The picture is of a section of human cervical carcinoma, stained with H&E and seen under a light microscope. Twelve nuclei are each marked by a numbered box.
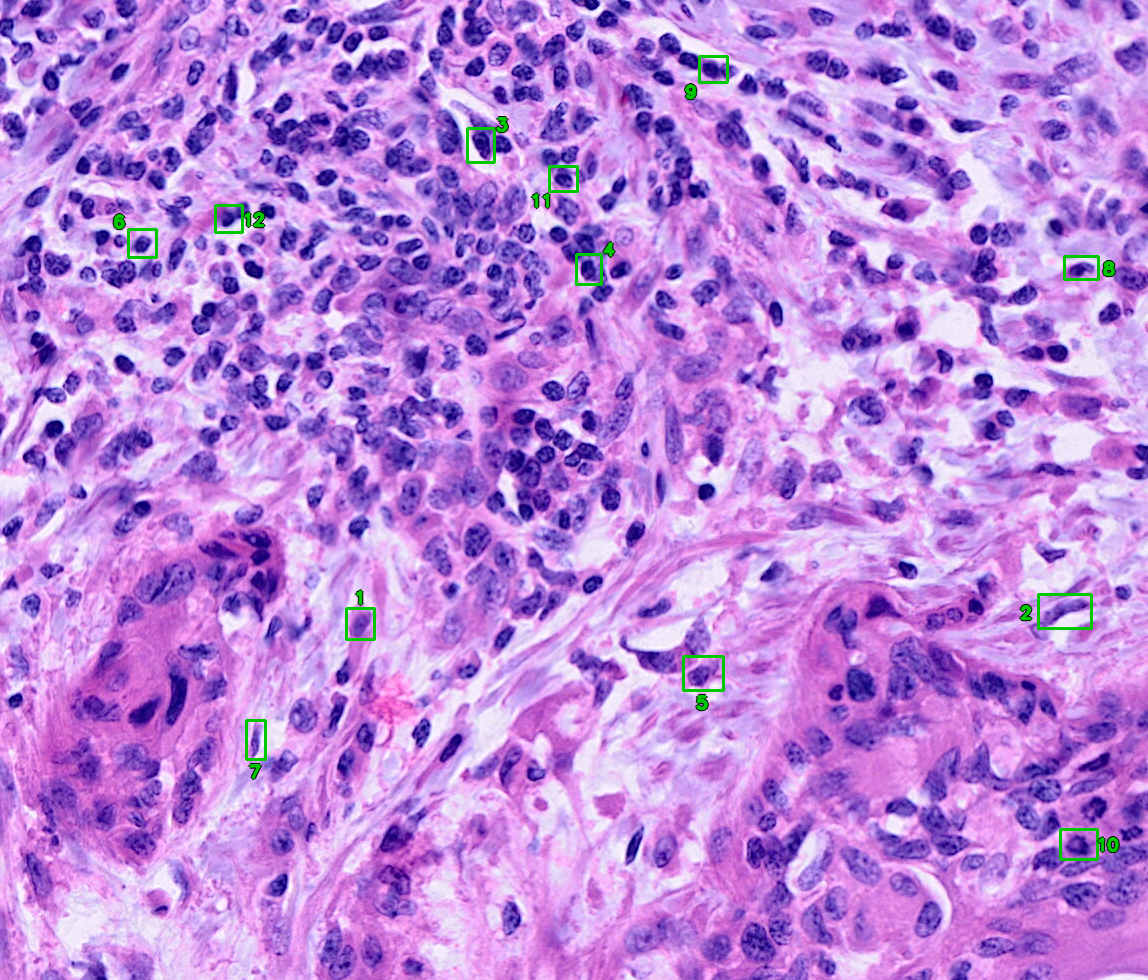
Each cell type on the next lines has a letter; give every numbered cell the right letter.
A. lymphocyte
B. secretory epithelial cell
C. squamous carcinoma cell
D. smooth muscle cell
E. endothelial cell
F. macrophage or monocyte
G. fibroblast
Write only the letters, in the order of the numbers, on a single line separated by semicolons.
F; G; A; A; F; A; G; A; A; C; A; A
